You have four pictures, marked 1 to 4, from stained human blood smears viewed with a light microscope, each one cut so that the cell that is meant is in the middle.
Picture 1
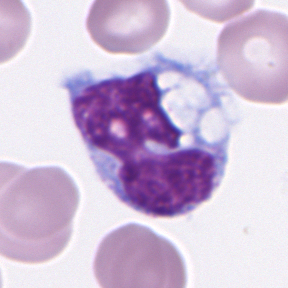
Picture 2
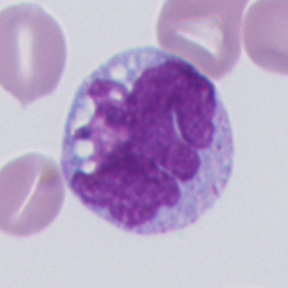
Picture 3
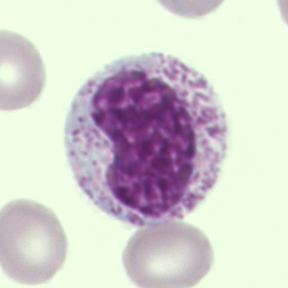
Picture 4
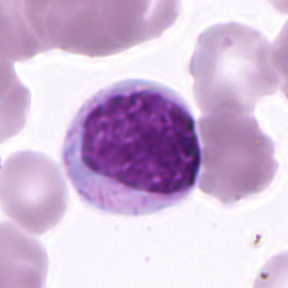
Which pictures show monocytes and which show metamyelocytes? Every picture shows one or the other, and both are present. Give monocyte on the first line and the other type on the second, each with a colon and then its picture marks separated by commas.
monocyte: 1, 2
metamyelocyte: 3, 4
